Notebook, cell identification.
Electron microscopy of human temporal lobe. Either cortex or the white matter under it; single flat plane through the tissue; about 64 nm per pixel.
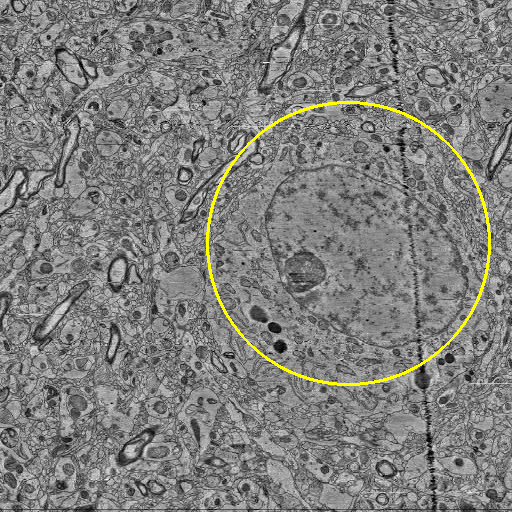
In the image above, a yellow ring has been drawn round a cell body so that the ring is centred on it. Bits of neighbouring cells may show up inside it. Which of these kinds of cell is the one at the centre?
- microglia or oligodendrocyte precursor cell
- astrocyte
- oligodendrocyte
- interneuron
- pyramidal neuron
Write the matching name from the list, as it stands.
interneuron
